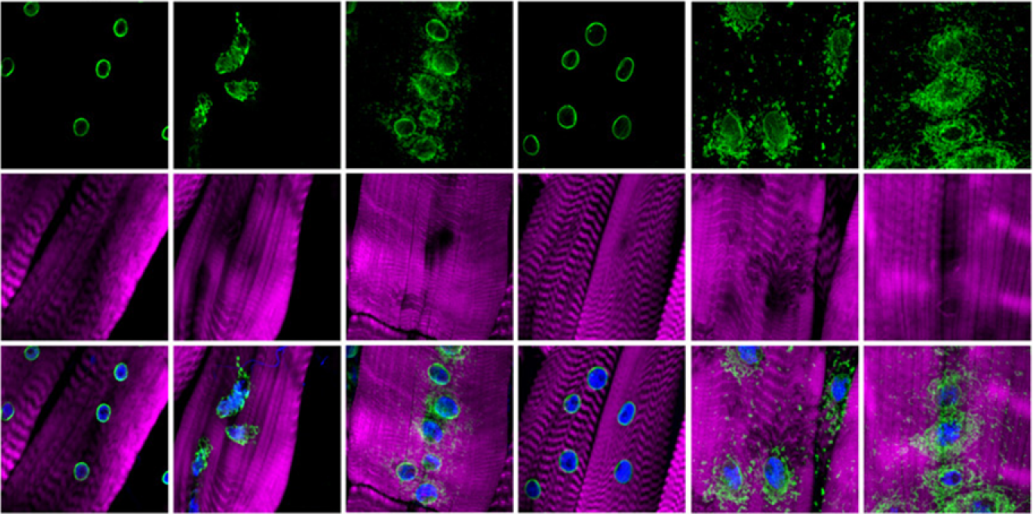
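The magenta fibers are broad and show fine, regular cross-striations, which look crisp in some images and blurred or patchy in others. In some images the green signal forms a thin, smooth ring that outlines each nucleus. In others the green is no longer confined to that ring and is scattered as dots, clumps and irregular webs around the nuclei and through the surrounding muscle. Where this happens, the nuclei often lie grouped together rather than evenly spaced.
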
